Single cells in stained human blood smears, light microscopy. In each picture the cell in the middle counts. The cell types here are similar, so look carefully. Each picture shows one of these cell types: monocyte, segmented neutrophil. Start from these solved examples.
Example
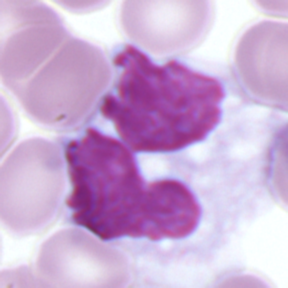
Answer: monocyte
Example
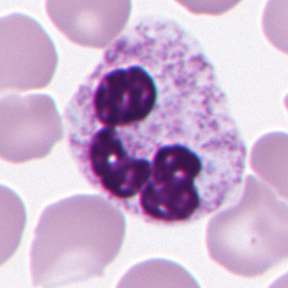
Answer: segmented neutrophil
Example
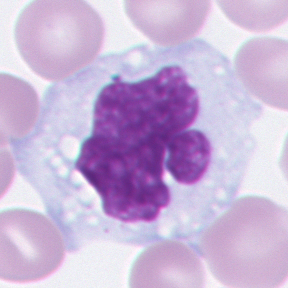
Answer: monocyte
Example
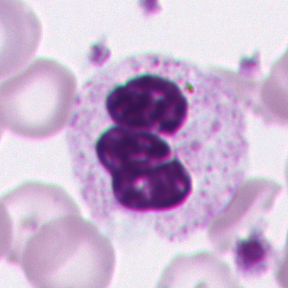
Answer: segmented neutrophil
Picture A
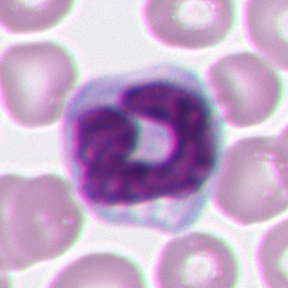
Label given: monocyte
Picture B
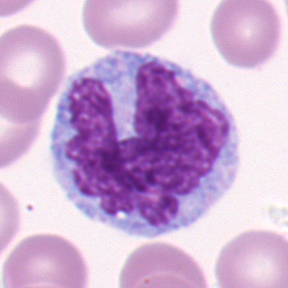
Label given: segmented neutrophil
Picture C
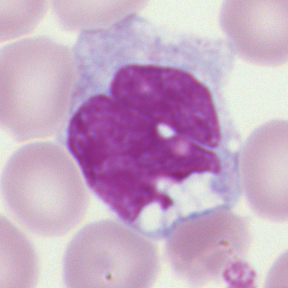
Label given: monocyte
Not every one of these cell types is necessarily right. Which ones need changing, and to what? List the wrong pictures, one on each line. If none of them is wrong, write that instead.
Wrong: B (segmented neutrophil); correct: monocyte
